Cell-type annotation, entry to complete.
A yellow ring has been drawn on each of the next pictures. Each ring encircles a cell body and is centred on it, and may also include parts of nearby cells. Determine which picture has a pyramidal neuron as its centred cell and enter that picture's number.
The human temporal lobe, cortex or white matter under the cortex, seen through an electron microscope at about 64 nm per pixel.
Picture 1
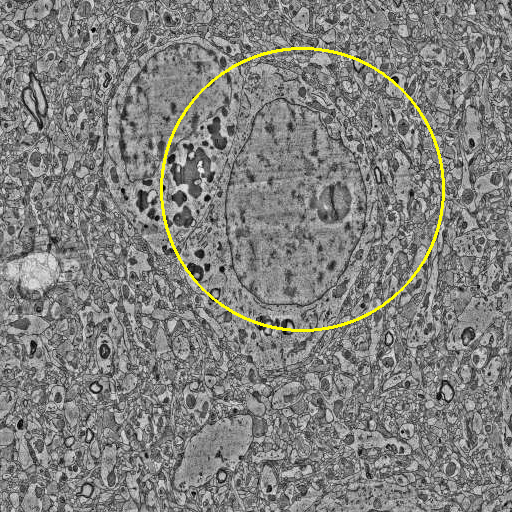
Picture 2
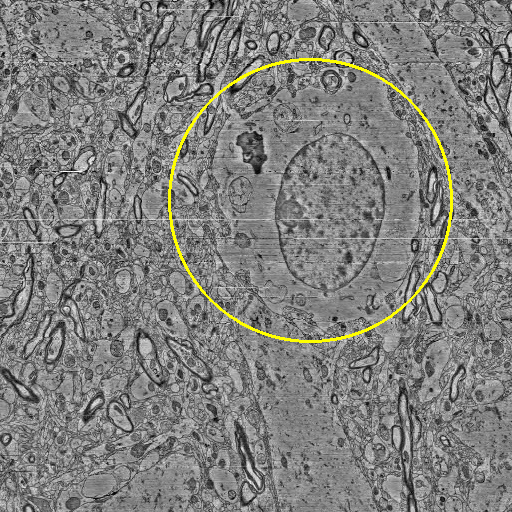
1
